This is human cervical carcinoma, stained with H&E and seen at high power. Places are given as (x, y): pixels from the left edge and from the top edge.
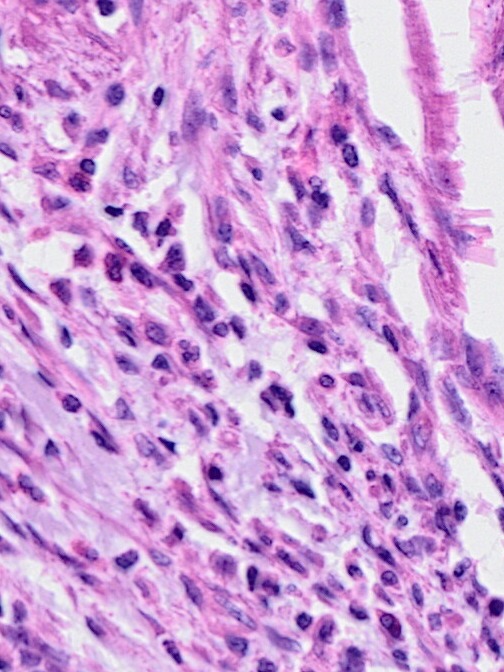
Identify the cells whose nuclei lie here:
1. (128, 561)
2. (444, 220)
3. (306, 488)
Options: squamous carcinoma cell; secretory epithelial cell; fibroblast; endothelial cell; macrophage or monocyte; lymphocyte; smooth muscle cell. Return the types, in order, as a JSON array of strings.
["lymphocyte", "fibroblast", "lymphocyte"]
